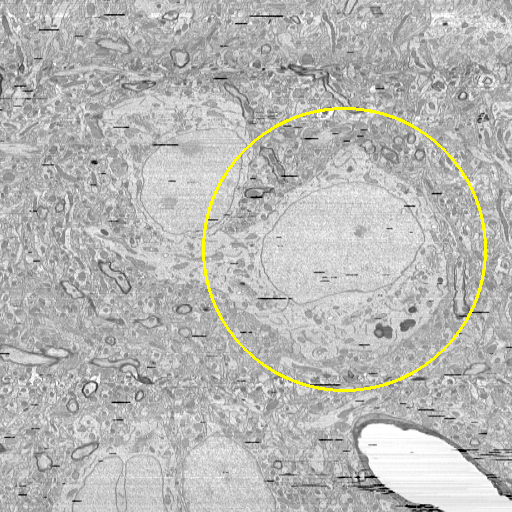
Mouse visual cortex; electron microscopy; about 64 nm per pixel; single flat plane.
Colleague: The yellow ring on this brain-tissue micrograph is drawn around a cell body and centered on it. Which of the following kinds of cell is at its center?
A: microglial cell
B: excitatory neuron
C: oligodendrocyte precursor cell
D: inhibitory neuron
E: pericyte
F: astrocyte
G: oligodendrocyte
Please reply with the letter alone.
B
